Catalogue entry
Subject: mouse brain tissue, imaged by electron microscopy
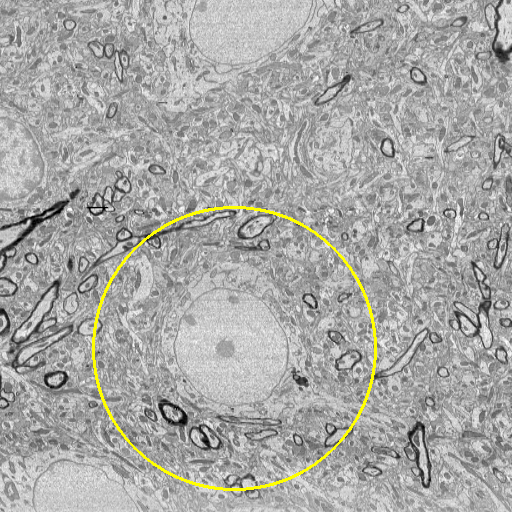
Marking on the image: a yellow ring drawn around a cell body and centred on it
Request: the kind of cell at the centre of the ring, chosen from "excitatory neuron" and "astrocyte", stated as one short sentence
The ring has an excitatory neuron at its centre.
